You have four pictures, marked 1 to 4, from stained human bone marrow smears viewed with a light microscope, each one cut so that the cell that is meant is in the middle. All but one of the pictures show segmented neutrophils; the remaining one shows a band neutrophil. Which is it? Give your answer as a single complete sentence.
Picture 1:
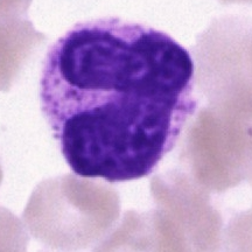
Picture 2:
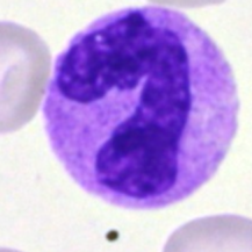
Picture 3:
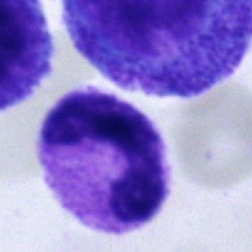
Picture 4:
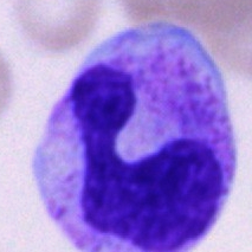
It is picture 3 that shows the band neutrophil.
